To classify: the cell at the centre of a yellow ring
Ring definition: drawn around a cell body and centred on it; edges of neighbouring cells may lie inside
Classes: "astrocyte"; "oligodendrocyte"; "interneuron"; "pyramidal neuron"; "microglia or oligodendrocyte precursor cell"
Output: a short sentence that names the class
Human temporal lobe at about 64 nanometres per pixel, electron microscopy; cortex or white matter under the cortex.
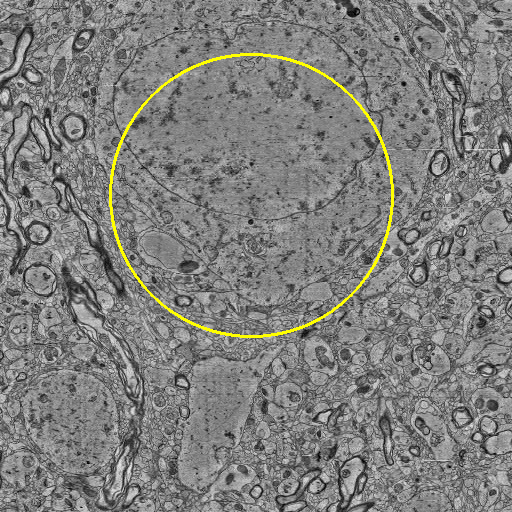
The ringed cell is a pyramidal neuron.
